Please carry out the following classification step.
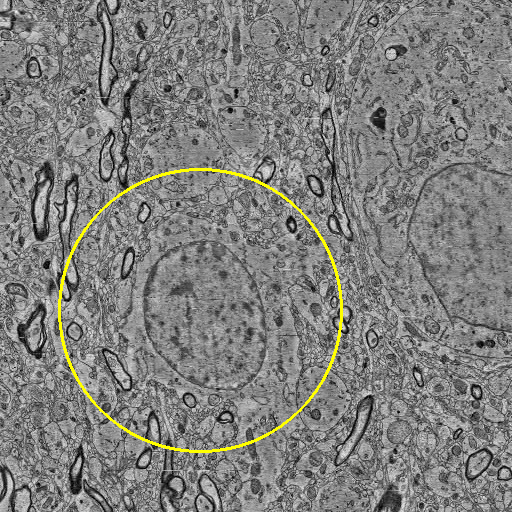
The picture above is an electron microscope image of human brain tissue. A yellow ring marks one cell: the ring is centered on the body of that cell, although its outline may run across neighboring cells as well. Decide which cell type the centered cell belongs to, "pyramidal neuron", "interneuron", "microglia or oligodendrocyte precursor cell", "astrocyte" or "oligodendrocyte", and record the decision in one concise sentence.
The cell centered in the yellow ring is an astrocyte.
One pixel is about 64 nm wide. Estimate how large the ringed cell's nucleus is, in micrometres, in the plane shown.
Approximately 10 by 8 micrometers in this plane.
